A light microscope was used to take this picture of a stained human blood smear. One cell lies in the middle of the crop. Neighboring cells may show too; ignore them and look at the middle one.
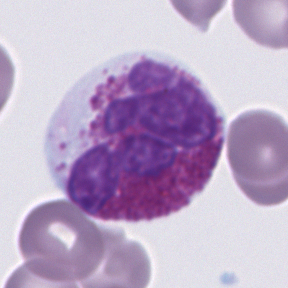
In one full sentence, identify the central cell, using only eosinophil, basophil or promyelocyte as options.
The identification for the central cell is an eosinophil.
